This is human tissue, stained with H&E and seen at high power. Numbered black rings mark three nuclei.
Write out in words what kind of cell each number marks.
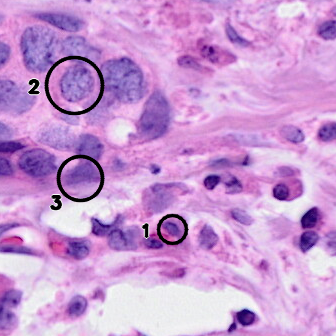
Cell 1 is an endothelial cell. Cells 2 and 3 are carcinoma cells.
